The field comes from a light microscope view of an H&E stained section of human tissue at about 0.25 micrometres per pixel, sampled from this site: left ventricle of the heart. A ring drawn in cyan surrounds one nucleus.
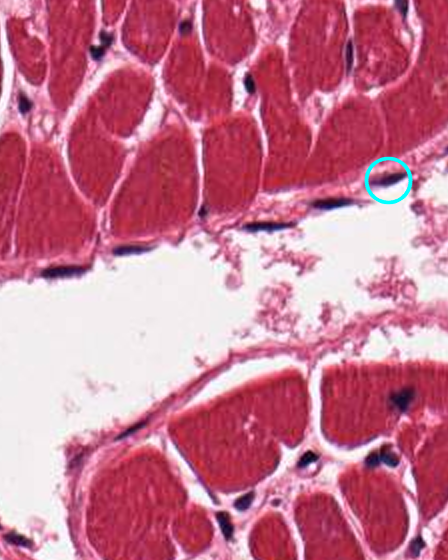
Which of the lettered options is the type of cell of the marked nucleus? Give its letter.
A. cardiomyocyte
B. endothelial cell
B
